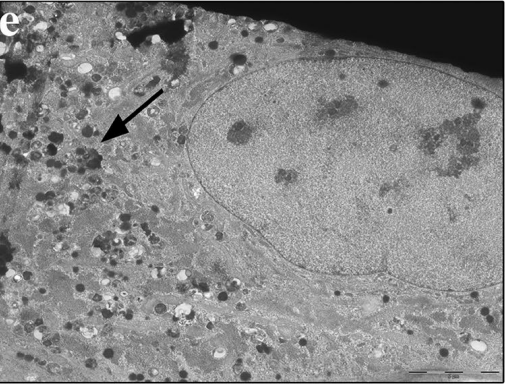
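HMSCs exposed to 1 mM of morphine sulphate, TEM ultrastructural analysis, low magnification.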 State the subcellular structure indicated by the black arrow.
lysosomes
